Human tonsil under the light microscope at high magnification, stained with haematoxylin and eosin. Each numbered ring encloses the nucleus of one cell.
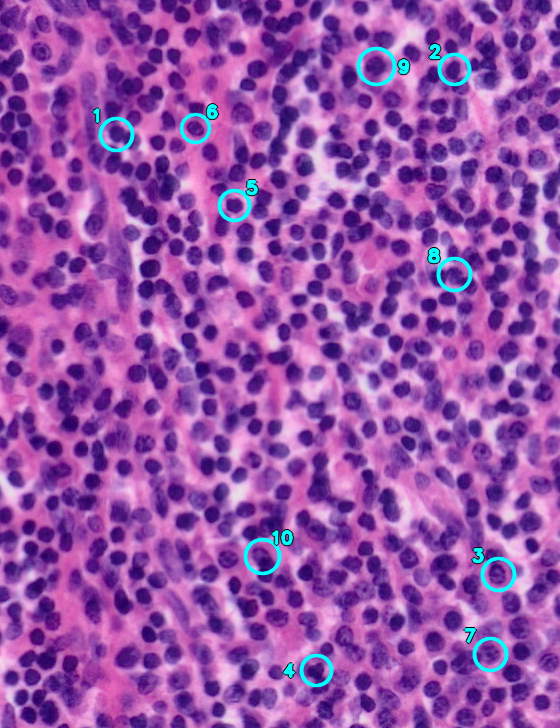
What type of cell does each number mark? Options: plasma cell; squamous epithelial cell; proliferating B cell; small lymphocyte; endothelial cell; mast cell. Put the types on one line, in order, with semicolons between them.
small lymphocyte; small lymphocyte; plasma cell; small lymphocyte; small lymphocyte; plasma cell; plasma cell; small lymphocyte; plasma cell; plasma cell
